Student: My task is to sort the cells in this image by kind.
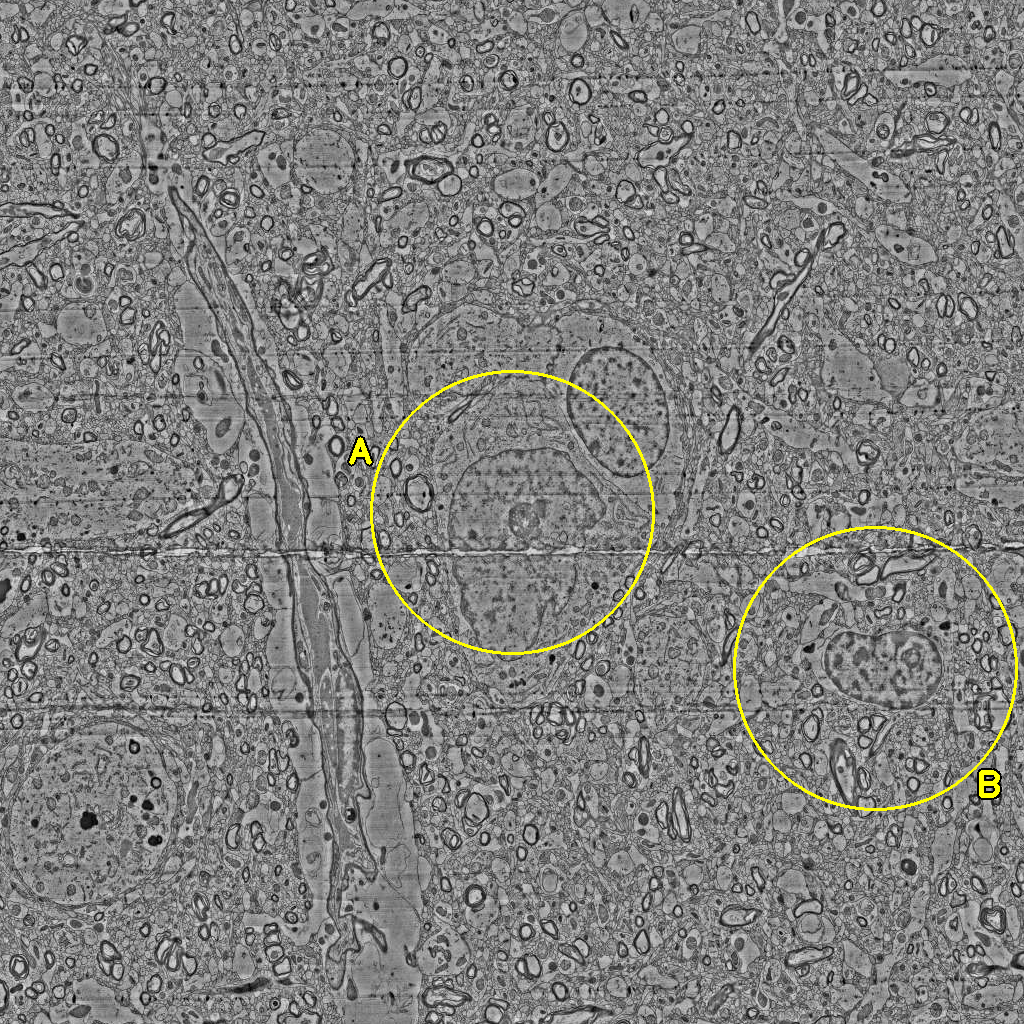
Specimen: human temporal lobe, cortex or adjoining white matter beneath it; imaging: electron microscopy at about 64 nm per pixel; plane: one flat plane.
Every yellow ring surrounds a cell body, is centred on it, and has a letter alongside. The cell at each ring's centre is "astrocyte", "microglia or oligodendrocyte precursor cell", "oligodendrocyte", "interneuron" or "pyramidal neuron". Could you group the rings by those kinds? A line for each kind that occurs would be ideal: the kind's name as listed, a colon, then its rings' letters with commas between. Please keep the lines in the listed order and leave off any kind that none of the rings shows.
microglia or oligodendrocyte precursor cell: B
interneuron: A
